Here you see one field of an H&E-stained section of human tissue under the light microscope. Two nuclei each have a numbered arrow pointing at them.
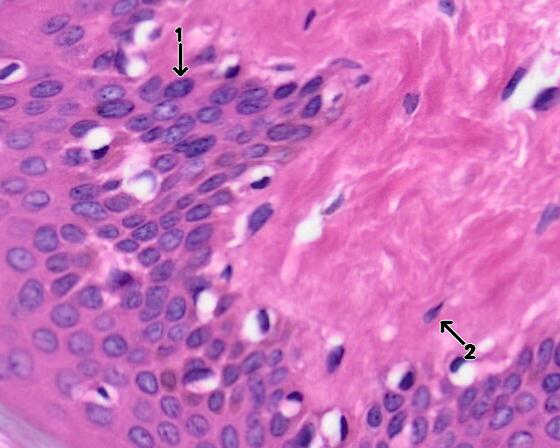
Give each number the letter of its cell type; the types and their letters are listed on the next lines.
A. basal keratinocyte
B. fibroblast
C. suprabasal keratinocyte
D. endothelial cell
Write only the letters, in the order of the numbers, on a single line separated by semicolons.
A; B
